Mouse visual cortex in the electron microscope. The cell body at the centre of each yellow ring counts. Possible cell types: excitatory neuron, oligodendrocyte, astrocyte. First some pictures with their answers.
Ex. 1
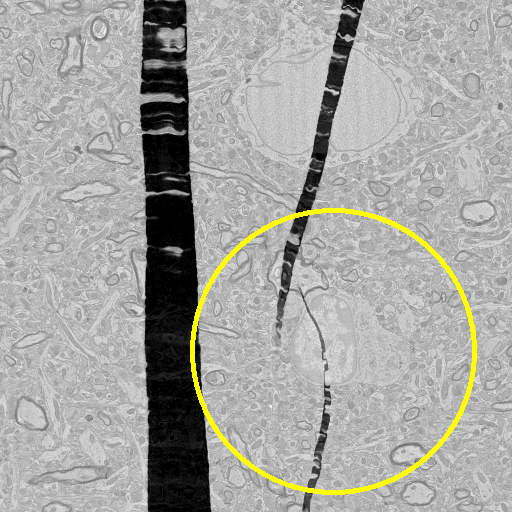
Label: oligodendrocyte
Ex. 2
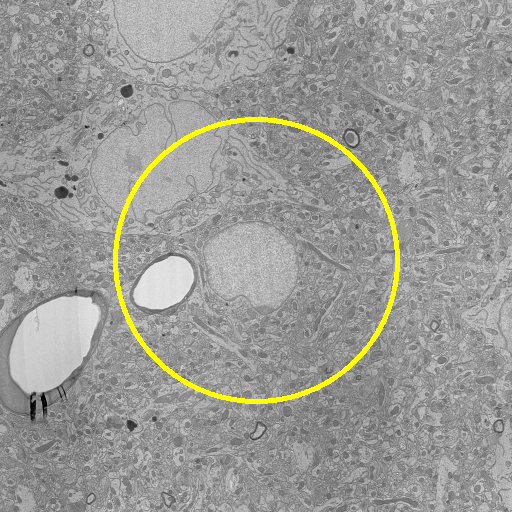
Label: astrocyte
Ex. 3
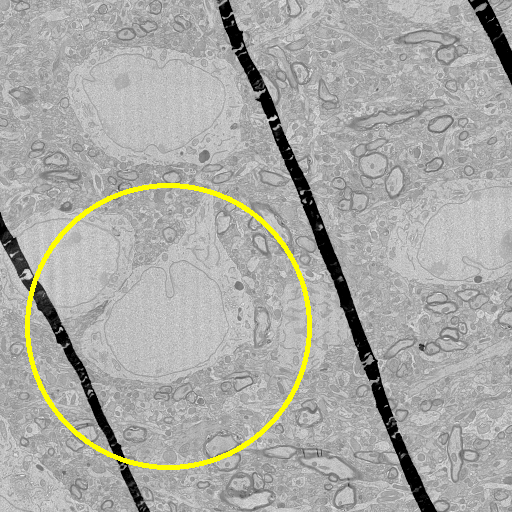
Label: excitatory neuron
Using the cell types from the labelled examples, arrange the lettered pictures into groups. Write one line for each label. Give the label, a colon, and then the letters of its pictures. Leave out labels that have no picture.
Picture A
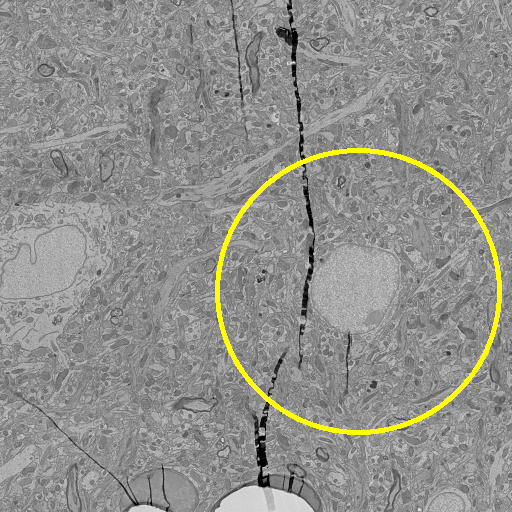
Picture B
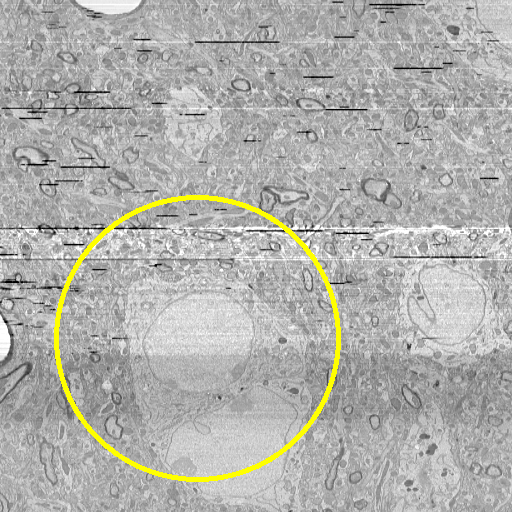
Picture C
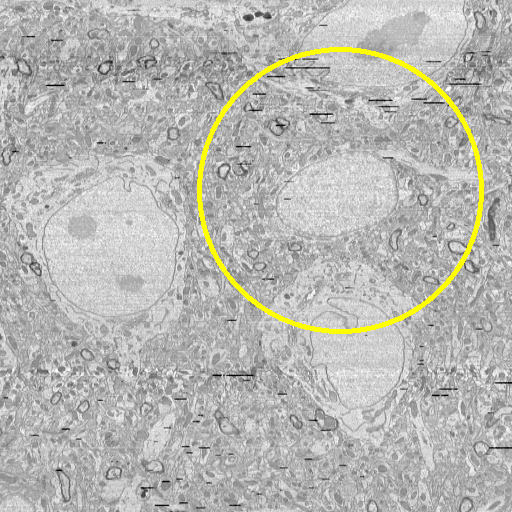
oligodendrocyte: B
astrocyte: A, C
